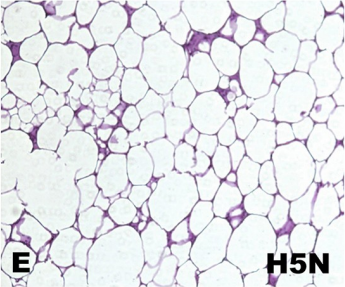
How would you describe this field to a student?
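White adipose tissue made of adipocytes that appear as clear, empty-looking round and polygonal spaces, each bounded by a thin purple rim. The cells vary in size: larger ones occupy most of the field while a cluster of smaller cells lies toward the left. Between groups of cells, small triangular patches of deeper purple material mark the corners where several cells meet, where stroma and small vessels run.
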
